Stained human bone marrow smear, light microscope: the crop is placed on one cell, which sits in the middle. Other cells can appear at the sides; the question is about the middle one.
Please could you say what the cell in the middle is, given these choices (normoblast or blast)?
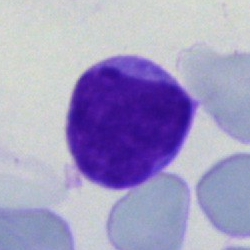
blast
